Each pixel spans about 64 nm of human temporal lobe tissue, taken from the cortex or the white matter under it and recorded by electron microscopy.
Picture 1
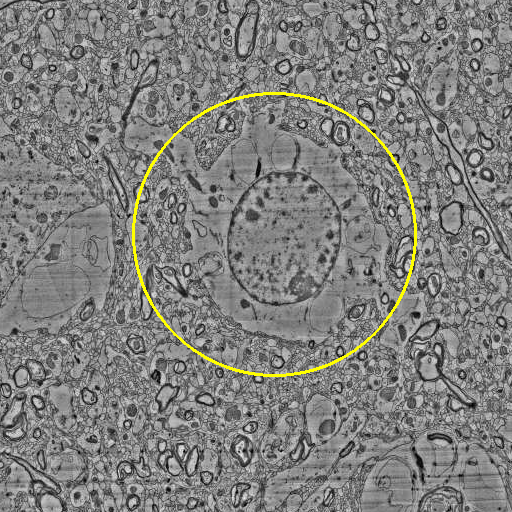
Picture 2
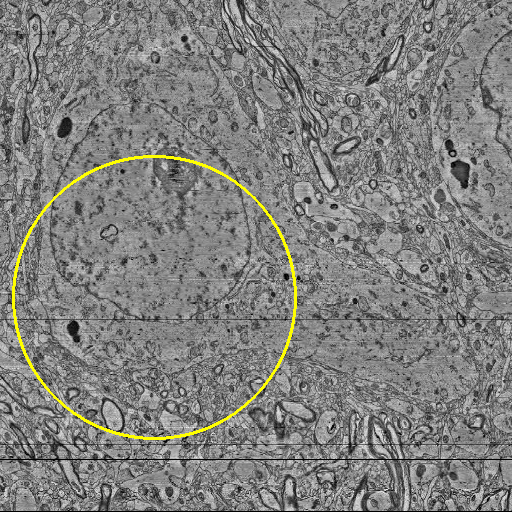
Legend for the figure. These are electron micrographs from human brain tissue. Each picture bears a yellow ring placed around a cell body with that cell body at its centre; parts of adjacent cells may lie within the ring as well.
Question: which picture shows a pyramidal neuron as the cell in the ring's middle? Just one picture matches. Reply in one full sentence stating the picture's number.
It is picture 2 whose yellow ring is centred on the requested cell.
